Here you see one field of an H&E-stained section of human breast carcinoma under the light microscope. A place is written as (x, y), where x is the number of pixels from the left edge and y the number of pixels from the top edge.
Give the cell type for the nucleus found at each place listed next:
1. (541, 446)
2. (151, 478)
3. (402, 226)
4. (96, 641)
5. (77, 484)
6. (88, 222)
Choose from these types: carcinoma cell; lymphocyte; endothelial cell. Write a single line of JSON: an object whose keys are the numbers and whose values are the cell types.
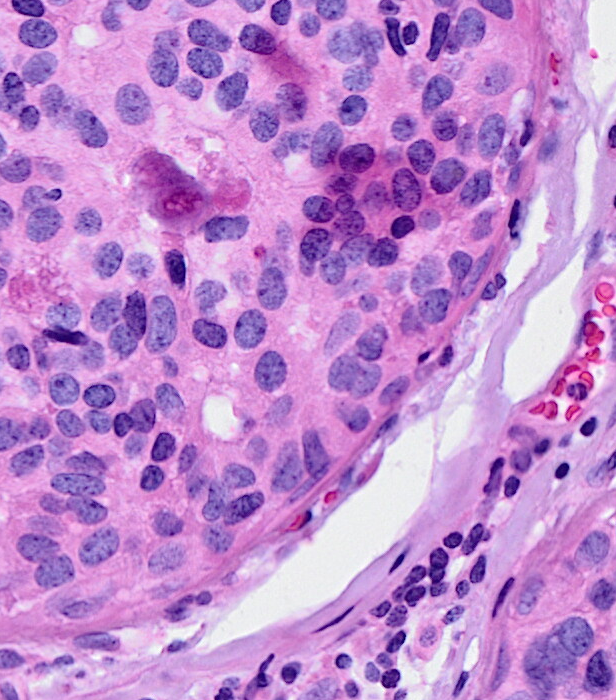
{"1": "lymphocyte", "2": "carcinoma cell", "3": "carcinoma cell", "4": "endothelial cell", "5": "carcinoma cell", "6": "carcinoma cell"}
